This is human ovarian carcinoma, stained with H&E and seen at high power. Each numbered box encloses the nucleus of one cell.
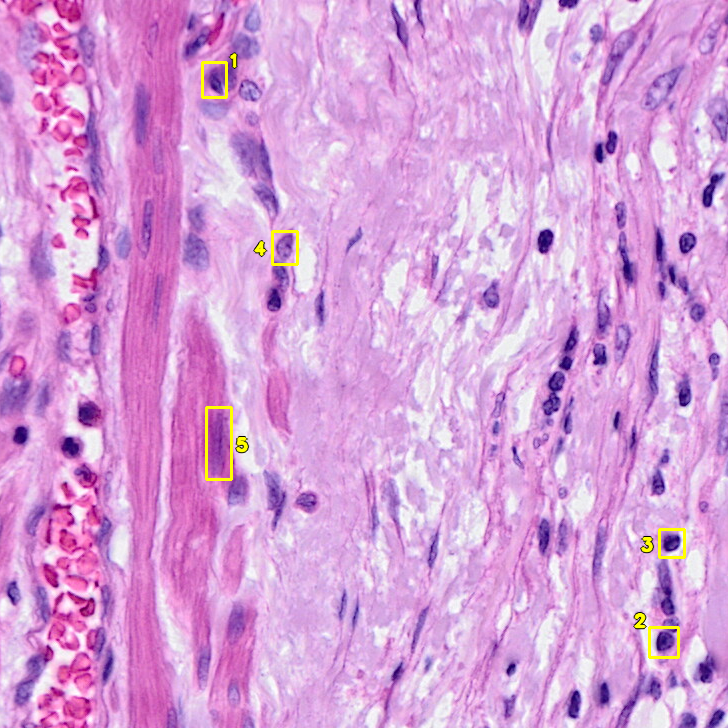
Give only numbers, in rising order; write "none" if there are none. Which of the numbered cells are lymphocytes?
2, 3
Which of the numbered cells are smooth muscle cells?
5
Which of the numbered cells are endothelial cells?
1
